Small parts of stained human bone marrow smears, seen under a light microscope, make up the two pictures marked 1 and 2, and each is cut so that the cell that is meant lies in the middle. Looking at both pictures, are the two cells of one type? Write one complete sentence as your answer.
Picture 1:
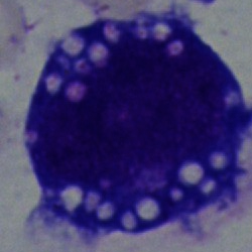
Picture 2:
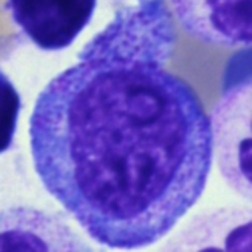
No. Picture 1 shows a blast, but picture 2 shows a promyelocyte.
